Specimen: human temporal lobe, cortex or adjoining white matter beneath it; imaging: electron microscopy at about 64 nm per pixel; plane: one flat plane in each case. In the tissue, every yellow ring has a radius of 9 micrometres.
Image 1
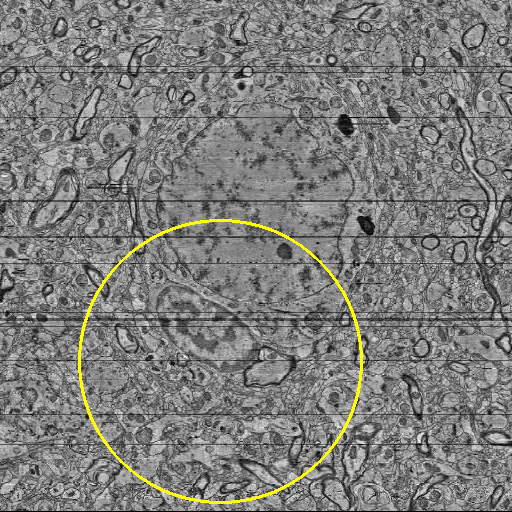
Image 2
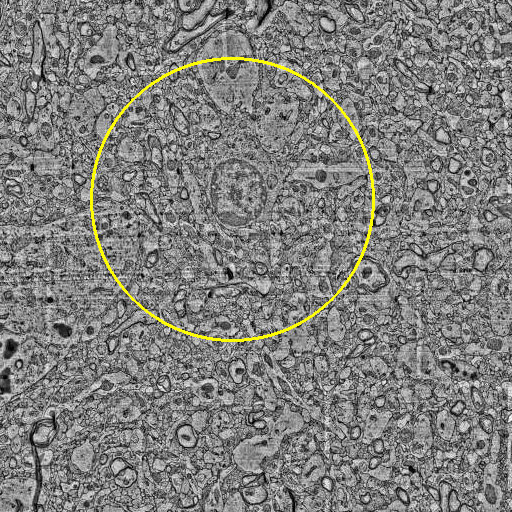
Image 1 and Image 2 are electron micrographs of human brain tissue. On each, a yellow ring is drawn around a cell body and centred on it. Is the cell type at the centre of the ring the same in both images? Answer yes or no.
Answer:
yes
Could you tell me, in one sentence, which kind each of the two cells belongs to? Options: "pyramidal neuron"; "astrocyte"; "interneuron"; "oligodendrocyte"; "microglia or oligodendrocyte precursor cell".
The first and the second cell are each an oligodendrocyte.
